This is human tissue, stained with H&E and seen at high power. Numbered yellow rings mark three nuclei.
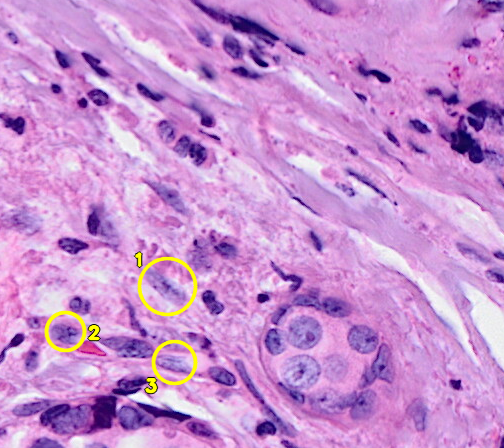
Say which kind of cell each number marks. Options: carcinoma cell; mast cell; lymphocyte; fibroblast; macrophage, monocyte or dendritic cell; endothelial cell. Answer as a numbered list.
1. fibroblast
2. endothelial cell
3. endothelial cell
